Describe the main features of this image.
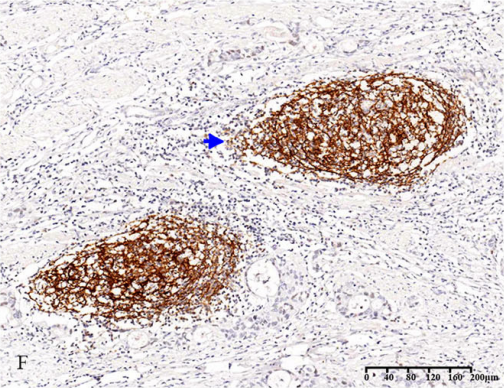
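Within each oval follicle a dense brown meshwork of fine interlacing processes surrounds small pale and blue nuclei. The surrounding fibrous stroma with scattered spindle cells and a few glands is unstained, so the follicles stand out sharply.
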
